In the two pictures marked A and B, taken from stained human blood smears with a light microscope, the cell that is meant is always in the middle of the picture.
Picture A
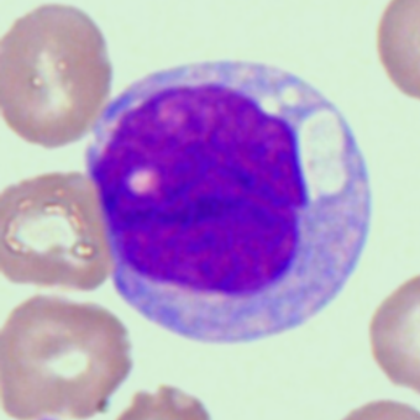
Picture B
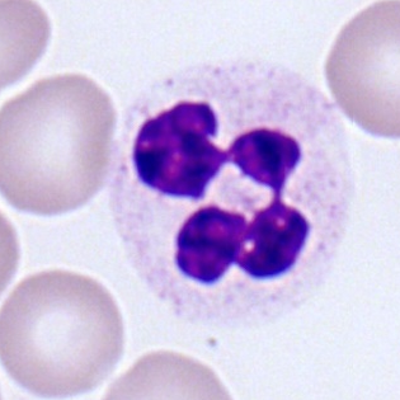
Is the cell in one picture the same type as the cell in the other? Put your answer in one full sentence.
No; the cell in picture A is a monocyte, while the one in picture B is a segmented neutrophil.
